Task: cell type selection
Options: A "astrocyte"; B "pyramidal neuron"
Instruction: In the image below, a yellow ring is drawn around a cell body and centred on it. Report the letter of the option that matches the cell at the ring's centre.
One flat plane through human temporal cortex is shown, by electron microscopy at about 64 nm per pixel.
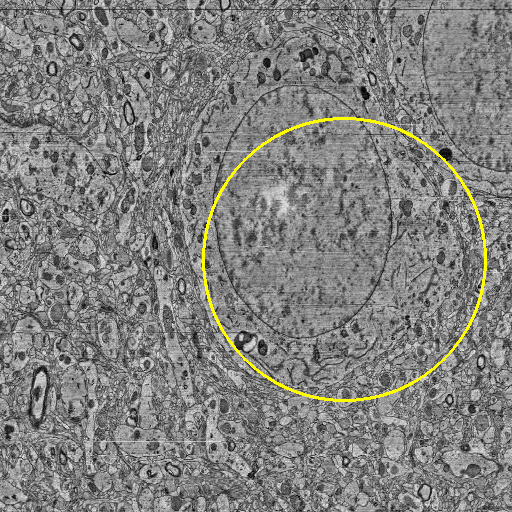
B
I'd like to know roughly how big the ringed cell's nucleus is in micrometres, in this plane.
The nucleus appears roughly 17 by 11 micrometres in this plane.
